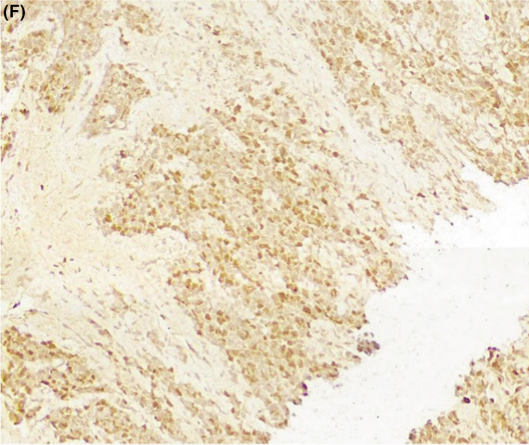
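This is a section of densely cellular tissue in which crowded cells form broad sheets and cords. Many small, round to oval nuclei within these sheets are stained brown, and they are scattered throughout the cellular areas. The cellular sheets are separated by pale, loosely fibrous stroma. A clear cleft-like space, which is probably an artefact, runs through the lower right of the field.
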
